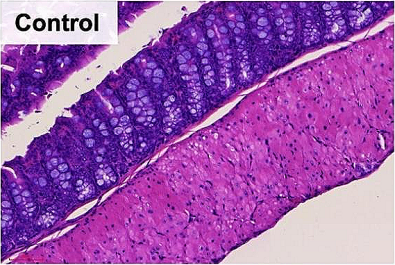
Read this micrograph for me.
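A histological section of intestine showing mucosa and a thick muscular wall without dense cell infiltrates. Across the upper part, the mucosa consists of closely set, regular tubular glands lined by epithelium with purple nuclei at the base and many pale, rounded mucus-filled cells. Below it lies a thin band of connective tissue and then a thick, evenly pink layer of smooth muscle with scattered elongated nuclei. A pale, empty space separates the tissue at the upper left. The layers are orderly, and no clusters of densely packed small dark nuclei are seen.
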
